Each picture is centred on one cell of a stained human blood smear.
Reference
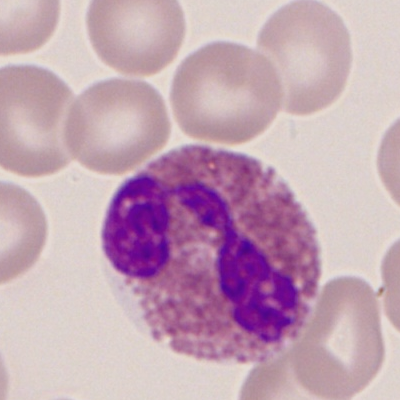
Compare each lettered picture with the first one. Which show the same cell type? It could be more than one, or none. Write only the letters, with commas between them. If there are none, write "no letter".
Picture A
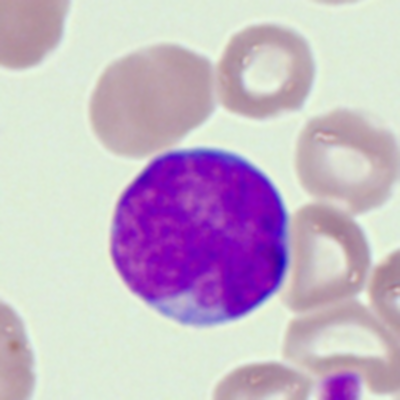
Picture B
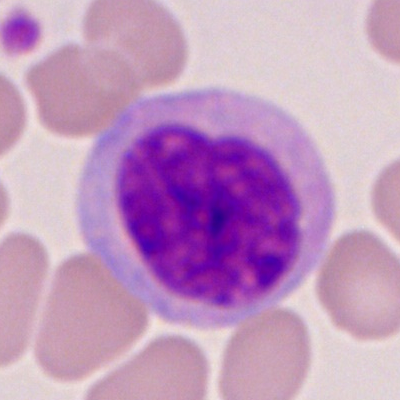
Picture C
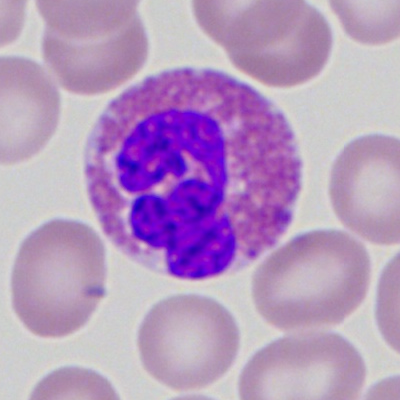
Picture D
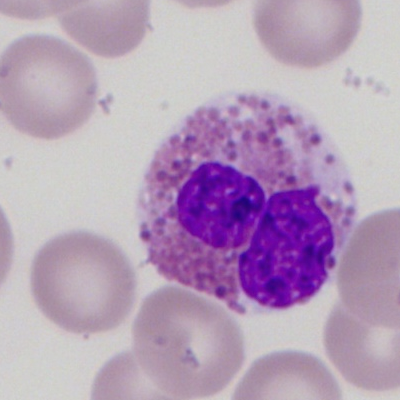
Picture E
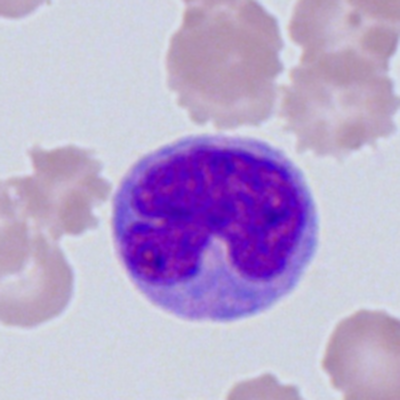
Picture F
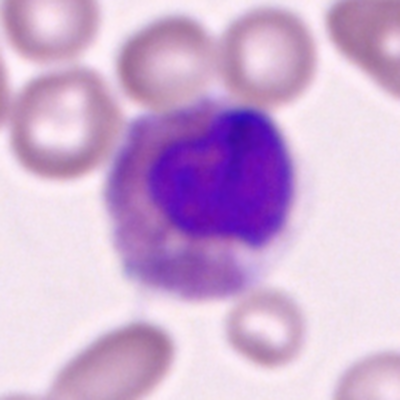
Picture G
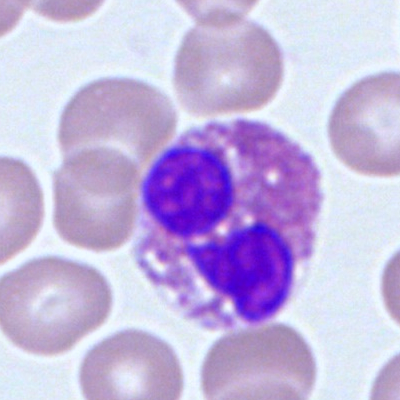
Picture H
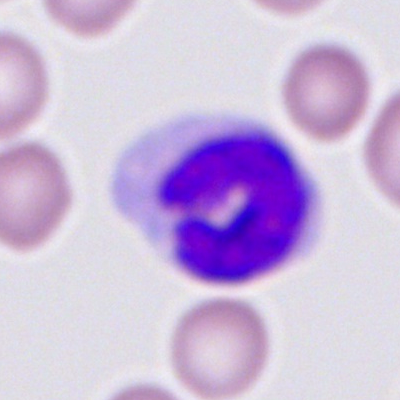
C, D, F, G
